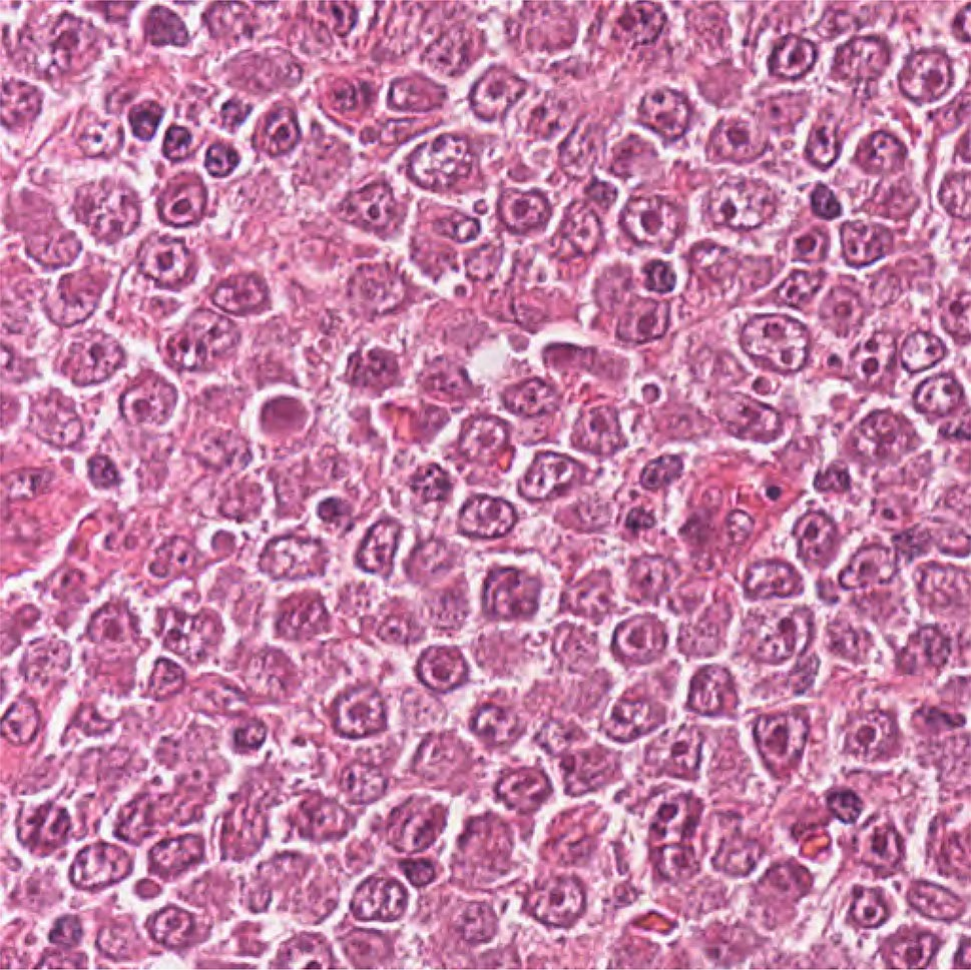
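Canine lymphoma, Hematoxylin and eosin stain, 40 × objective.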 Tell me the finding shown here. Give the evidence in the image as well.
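Variably sized nuclei. Nuclei range from small dark round ones to large pale oval ones. Most nuclei are large with open chromatin and visible nucleoli.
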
